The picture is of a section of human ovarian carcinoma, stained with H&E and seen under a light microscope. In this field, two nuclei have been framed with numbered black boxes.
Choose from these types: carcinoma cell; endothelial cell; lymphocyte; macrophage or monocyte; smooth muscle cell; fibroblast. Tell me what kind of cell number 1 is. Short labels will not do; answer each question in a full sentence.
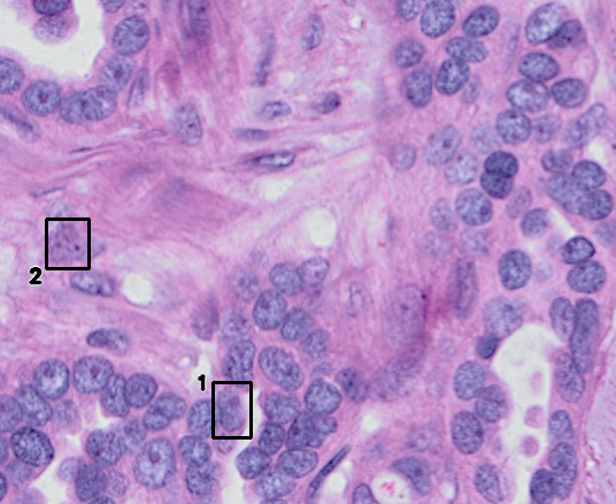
The numbered cell 1 is identified here as a carcinoma cell.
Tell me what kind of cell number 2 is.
Cell 2, as marked in the section, is a fibroblast.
